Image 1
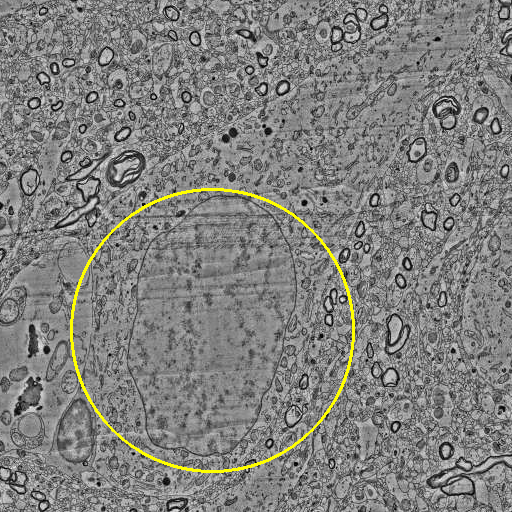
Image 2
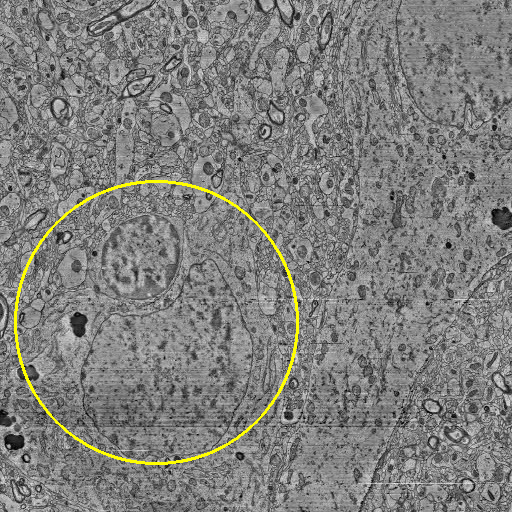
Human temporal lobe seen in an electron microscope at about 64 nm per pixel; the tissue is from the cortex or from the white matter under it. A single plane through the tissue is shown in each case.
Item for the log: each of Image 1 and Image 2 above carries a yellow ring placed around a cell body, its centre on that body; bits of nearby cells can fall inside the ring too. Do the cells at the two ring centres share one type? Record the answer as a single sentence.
Yes, the two cells at the ring centres in Image 1 and Image 2 share one type.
